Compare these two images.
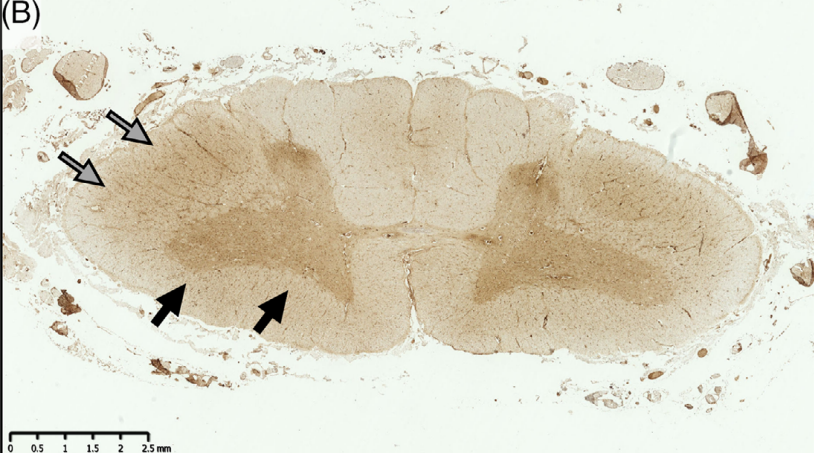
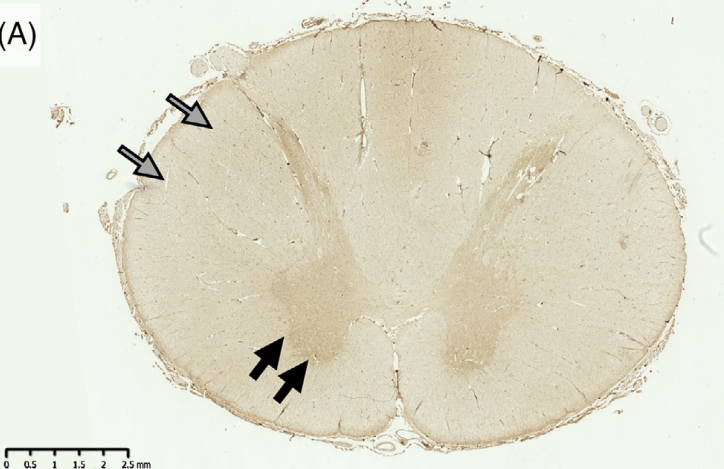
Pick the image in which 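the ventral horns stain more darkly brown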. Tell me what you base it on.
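First image: the gray matter, especially the ventral horns, is clearly darker brown than the white matter. So: the first image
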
